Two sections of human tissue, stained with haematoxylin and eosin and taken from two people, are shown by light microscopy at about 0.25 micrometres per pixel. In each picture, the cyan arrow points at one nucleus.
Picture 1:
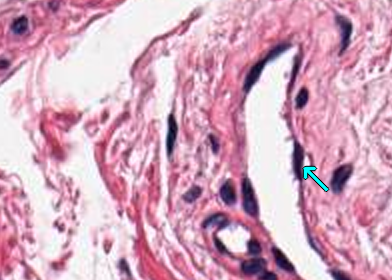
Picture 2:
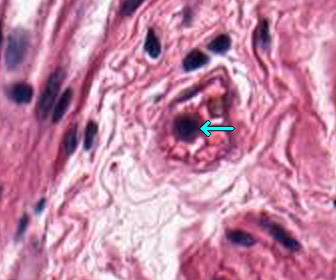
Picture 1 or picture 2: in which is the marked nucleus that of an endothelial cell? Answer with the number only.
1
